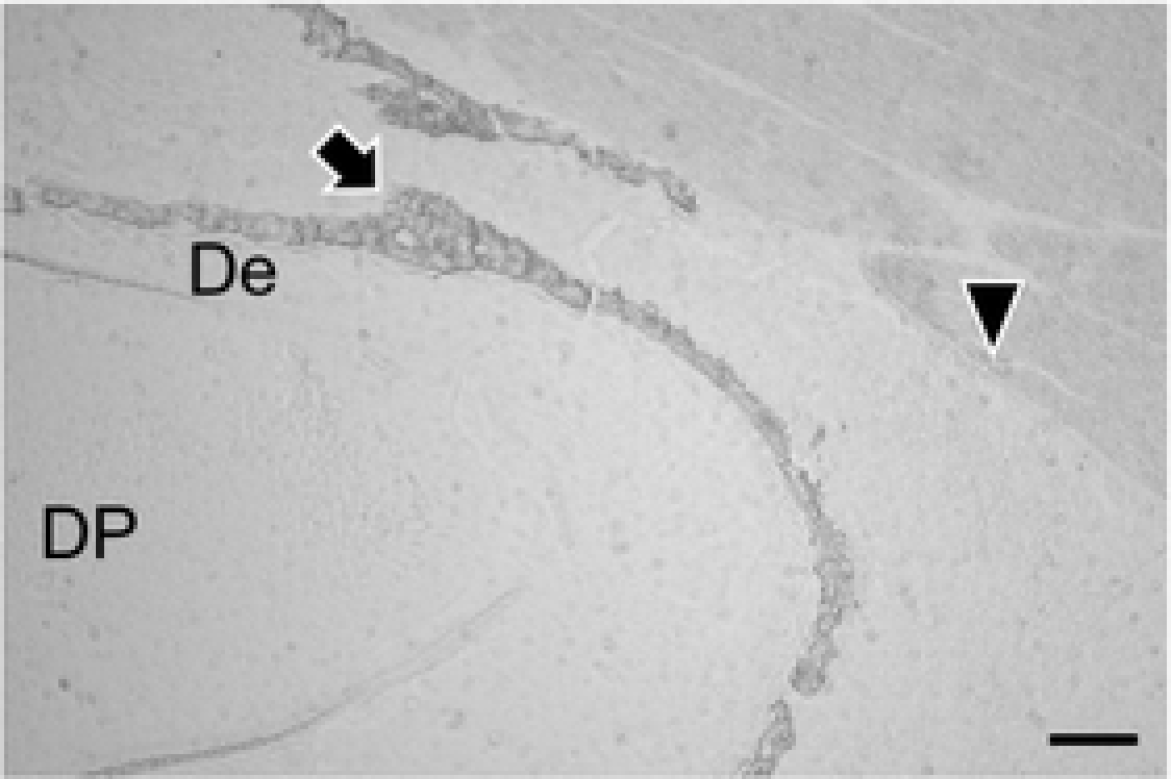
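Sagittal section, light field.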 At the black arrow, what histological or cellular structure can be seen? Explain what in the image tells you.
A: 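The arrow points at a thin, irregular, beaded band of dense tissue curving around the tooth. The band lies outside the tooth, separate from the smooth inner layers.
Answer: alveolar bone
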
